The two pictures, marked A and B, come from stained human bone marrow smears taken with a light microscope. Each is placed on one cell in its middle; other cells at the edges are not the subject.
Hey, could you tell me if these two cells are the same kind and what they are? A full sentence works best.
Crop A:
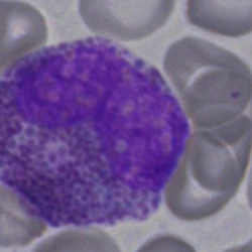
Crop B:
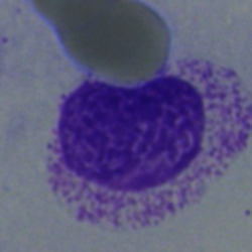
No, crop A is where an eosinophil is, and crop B is where a myelocyte is.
